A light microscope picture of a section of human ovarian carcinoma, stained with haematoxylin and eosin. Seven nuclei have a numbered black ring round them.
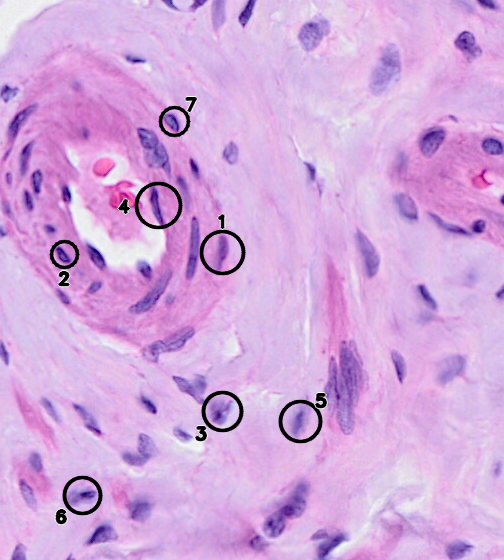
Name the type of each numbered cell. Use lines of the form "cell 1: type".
cell 1: smooth muscle cell
cell 2: smooth muscle cell
cell 3: fibroblast
cell 4: endothelial cell
cell 5: fibroblast
cell 6: fibroblast
cell 7: smooth muscle cell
